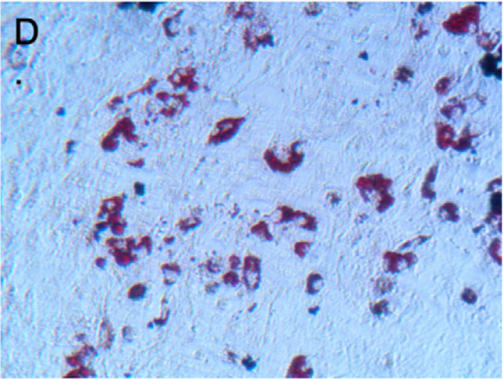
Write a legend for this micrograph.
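Discrete red clumps of droplets are scattered over a pale blue background layer of flattened cells. The clumps are rounded to irregular and granular, each apparently marking a cell filled with droplets. A few small dark blue specks lie among them. The background cell layer shows a fine, streaked texture without distinct nuclei.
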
